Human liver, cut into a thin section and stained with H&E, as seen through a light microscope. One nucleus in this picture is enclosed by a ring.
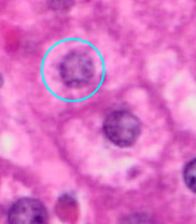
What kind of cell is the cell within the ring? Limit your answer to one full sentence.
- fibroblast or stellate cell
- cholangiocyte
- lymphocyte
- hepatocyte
By cell type, the cell within the ring is a hepatocyte.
